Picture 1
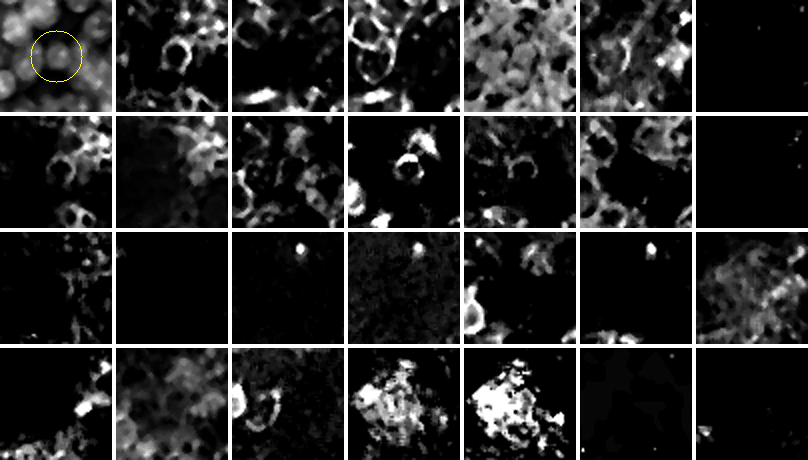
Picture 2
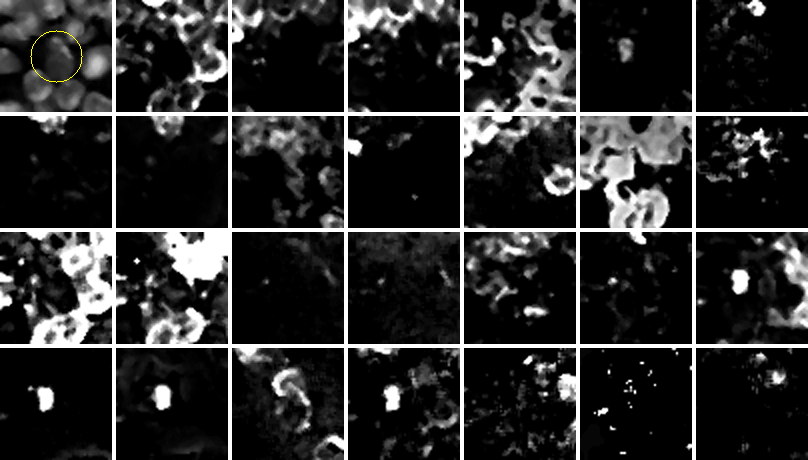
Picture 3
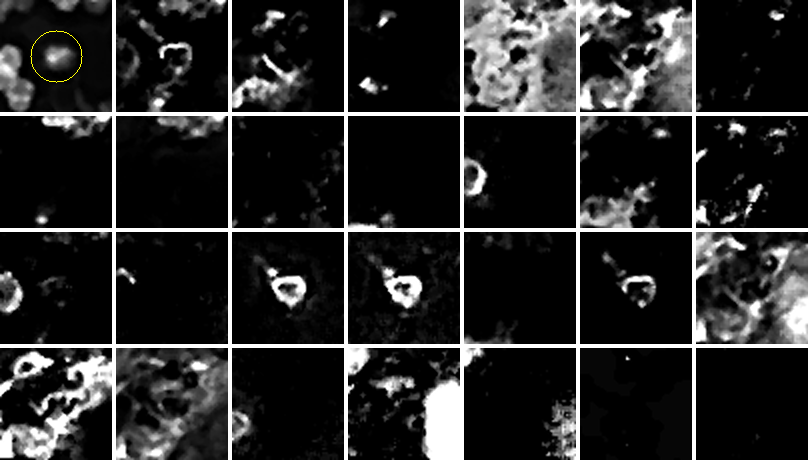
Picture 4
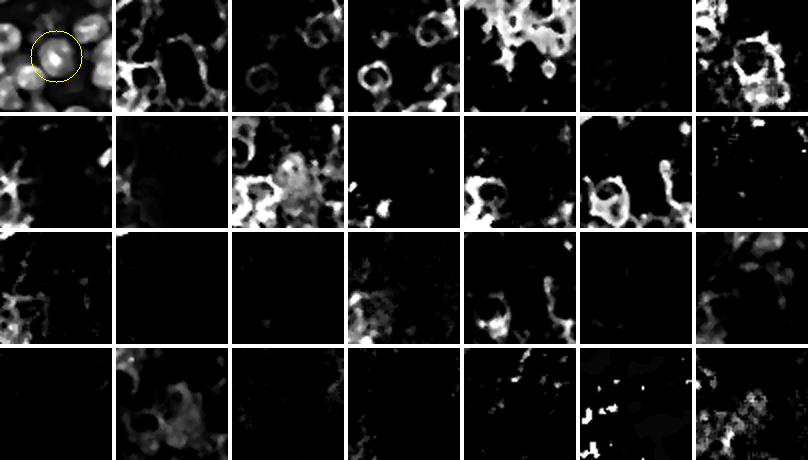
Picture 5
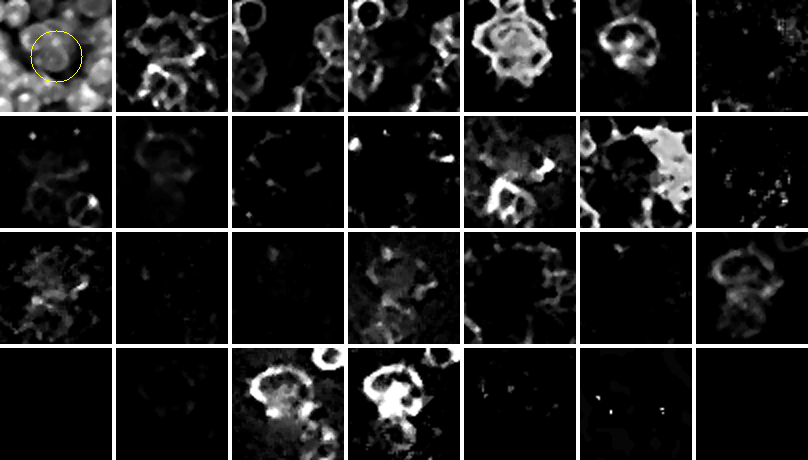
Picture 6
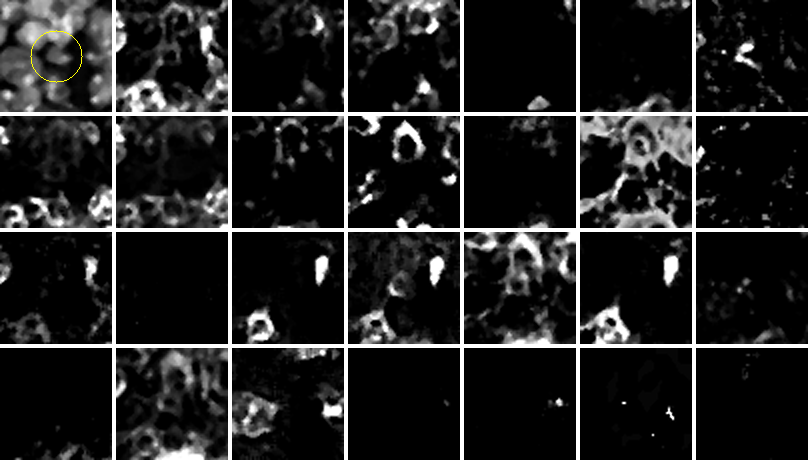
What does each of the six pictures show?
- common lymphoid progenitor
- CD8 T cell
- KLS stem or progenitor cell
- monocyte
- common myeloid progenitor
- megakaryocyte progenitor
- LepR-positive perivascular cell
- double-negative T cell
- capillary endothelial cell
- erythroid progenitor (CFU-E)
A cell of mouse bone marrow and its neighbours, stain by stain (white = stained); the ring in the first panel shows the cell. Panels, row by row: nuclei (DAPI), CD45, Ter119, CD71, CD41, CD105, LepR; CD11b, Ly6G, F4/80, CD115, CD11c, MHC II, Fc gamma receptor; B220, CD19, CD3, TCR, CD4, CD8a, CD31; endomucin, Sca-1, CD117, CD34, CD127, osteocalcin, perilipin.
1: common lymphoid progenitor
2: KLS stem or progenitor cell
3: double-negative T cell
4: LepR-positive perivascular cell
5: megakaryocyte progenitor
6: LepR-positive perivascular cell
